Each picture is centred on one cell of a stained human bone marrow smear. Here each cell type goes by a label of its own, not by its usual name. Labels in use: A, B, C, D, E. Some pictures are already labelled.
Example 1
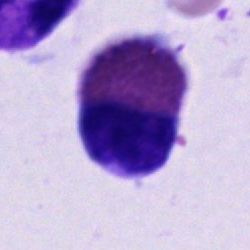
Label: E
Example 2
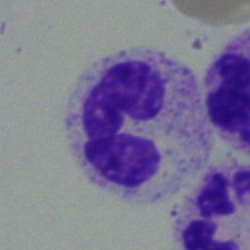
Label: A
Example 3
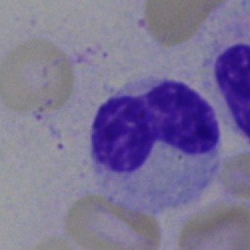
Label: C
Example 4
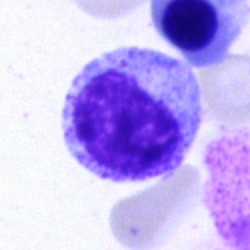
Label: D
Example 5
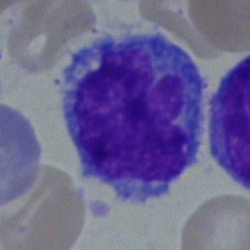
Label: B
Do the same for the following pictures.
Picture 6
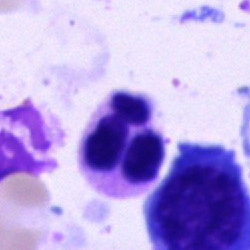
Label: A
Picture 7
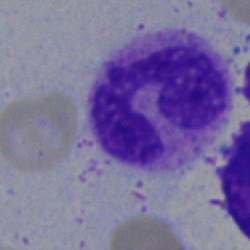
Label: C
